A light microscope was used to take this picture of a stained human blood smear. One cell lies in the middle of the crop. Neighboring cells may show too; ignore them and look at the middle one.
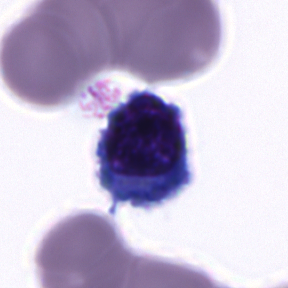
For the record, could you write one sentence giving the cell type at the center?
The cell at the middle of the frame should be recorded as a plasma cell.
